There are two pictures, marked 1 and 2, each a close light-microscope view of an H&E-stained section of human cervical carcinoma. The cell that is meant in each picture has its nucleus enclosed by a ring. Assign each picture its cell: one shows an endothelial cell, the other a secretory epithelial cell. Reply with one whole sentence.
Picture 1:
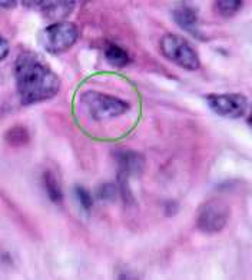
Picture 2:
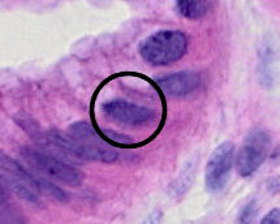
Picture 1 shows an endothelial cell and picture 2 shows a secretory epithelial cell.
